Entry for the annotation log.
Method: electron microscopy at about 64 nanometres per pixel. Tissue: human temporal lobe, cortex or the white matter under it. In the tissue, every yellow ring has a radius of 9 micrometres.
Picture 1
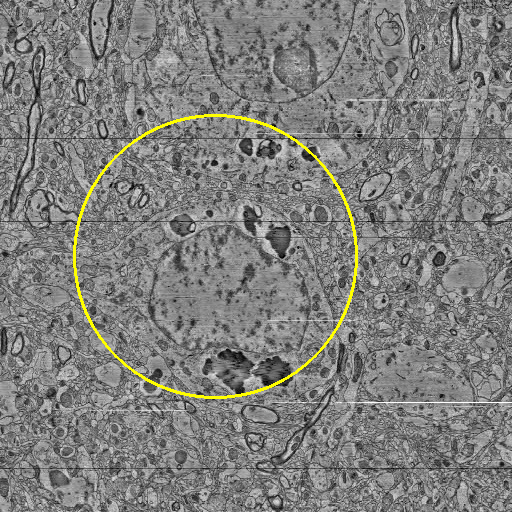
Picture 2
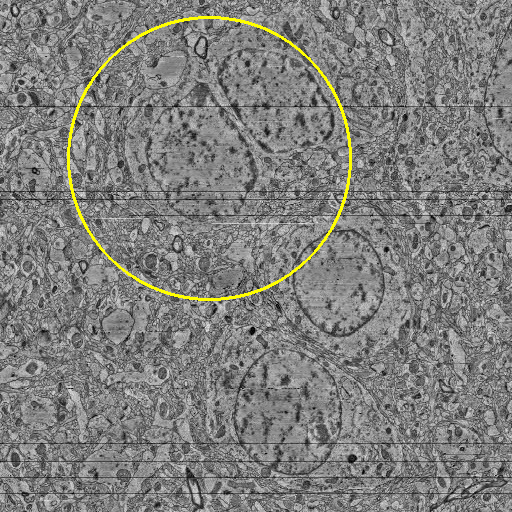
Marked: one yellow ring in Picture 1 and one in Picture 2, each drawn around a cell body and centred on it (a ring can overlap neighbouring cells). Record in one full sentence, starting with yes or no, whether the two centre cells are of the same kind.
Yes, both cells are of the same kind.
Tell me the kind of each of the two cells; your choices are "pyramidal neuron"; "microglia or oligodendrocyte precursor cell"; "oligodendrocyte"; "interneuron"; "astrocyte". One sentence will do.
Each of the two pictures has an interneuron at the ring centre.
